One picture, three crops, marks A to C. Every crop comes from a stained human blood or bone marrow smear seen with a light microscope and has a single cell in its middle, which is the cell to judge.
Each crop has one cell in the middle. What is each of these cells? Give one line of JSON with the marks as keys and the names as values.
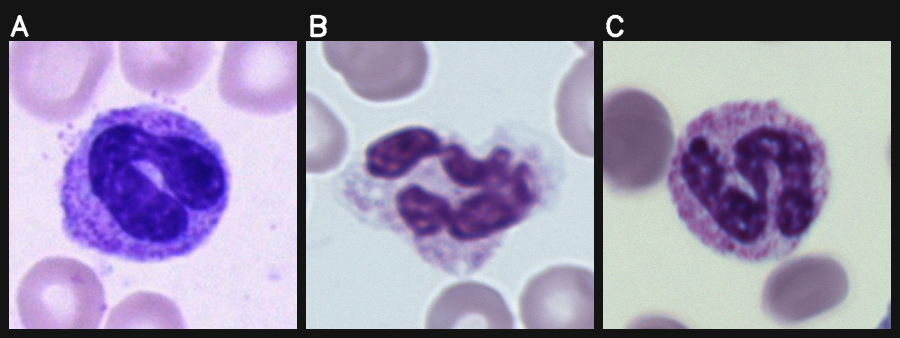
{"A": "band neutrophil", "B": "segmented neutrophil", "C": "segmented neutrophil"}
